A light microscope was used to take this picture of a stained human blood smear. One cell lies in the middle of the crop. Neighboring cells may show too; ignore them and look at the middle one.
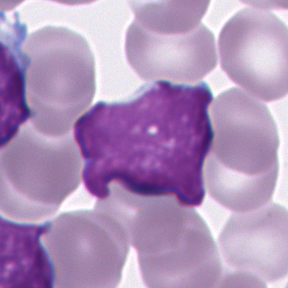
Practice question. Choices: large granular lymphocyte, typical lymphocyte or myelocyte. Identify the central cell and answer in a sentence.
Seen at the centre of the crop is a typical lymphocyte.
